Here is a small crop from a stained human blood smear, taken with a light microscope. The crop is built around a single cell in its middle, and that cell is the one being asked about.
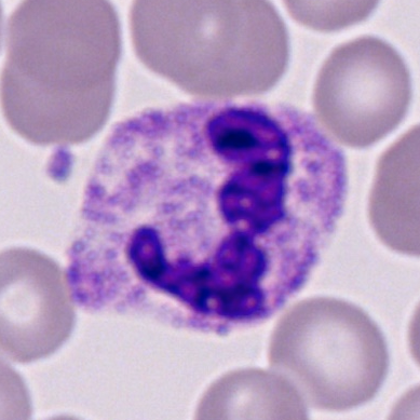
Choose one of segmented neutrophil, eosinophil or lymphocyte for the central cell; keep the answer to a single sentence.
What the crop centres on is a segmented neutrophil.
